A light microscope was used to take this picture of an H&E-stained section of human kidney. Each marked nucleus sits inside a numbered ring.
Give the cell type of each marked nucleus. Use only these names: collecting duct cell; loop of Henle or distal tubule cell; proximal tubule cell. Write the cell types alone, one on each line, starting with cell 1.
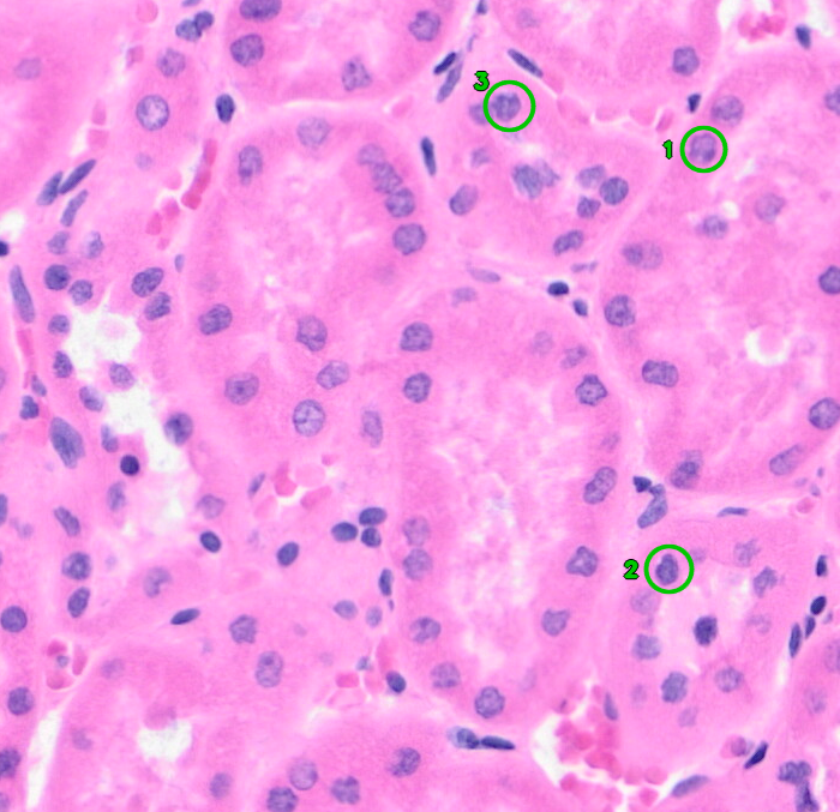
proximal tubule cell
loop of Henle or distal tubule cell
loop of Henle or distal tubule cell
